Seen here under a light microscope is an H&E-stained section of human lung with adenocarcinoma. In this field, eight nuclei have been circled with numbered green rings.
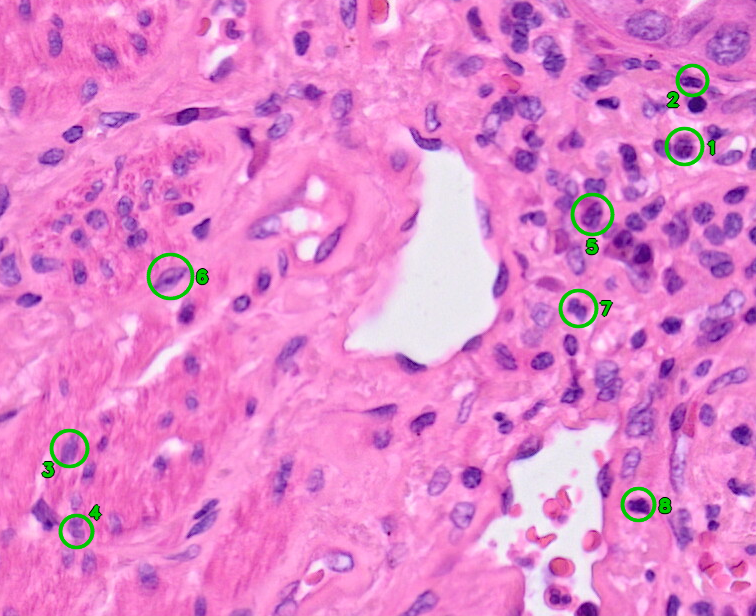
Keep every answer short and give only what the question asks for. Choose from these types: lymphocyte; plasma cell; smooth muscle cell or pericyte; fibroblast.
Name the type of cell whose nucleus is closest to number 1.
lymphocyte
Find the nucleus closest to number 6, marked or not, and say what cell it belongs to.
smooth muscle cell or pericyte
